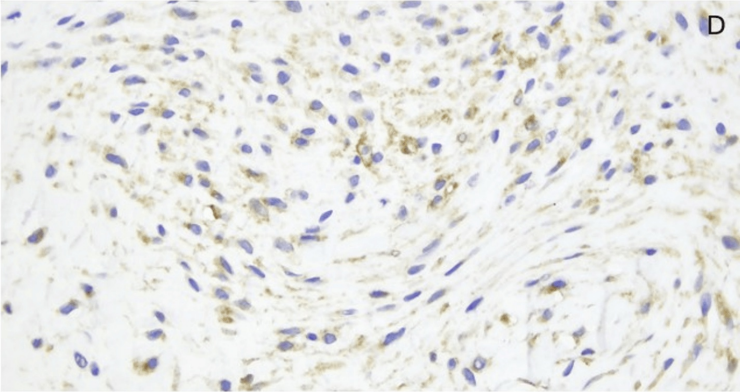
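Oval to spindle-shaped stromal cells are spread through a loose, pale matrix, some arranged in gentle streams. Their blue nuclei are small and regular, and brown granular staining lies in the cytoplasm and fine processes around many of them.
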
